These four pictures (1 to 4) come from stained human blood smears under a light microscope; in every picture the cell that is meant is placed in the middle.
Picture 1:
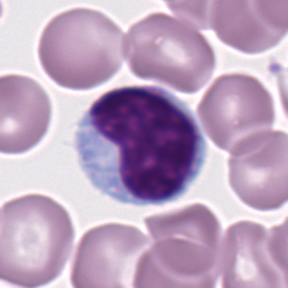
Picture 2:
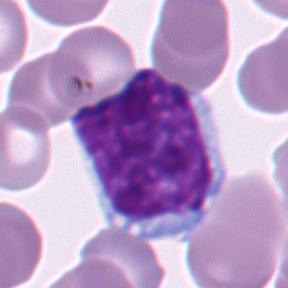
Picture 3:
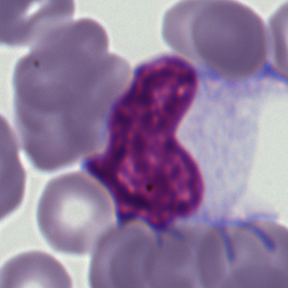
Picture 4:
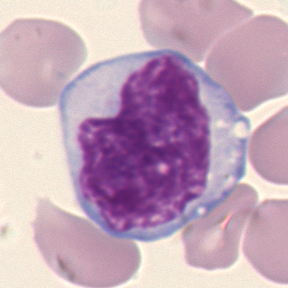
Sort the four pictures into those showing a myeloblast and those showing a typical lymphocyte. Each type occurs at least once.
1: typical lymphocyte
2: typical lymphocyte
3: typical lymphocyte
4: myeloblast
